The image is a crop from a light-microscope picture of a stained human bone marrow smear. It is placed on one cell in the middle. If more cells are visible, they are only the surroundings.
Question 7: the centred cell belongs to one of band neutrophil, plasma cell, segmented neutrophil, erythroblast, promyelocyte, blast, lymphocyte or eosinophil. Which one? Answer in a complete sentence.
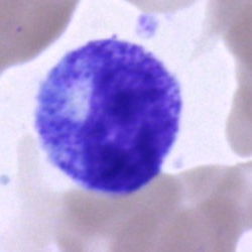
This crop has a promyelocyte at its centre.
